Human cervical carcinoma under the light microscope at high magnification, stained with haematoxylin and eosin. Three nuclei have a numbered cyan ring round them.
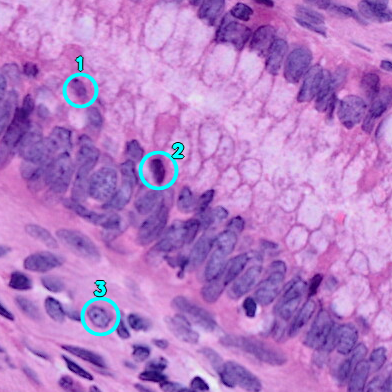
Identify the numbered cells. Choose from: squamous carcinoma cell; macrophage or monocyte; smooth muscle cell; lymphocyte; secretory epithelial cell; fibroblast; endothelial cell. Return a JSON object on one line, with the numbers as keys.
{"1": "secretory epithelial cell", "2": "secretory epithelial cell", "3": "endothelial cell"}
